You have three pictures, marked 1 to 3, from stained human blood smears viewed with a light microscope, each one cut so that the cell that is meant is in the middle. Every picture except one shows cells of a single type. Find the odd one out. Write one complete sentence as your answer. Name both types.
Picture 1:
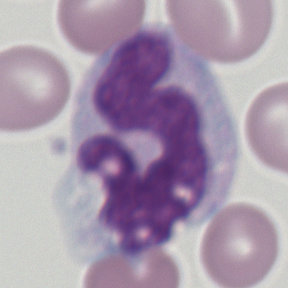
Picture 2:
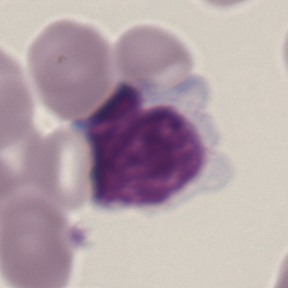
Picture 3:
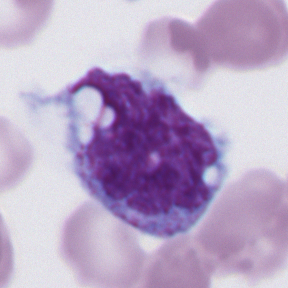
Picture 2 differs, because its cell is a large granular lymphocyte and the rest are monocytes.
